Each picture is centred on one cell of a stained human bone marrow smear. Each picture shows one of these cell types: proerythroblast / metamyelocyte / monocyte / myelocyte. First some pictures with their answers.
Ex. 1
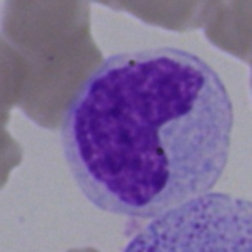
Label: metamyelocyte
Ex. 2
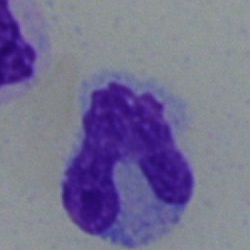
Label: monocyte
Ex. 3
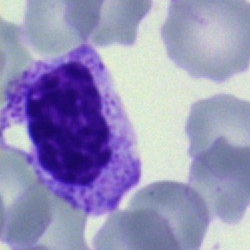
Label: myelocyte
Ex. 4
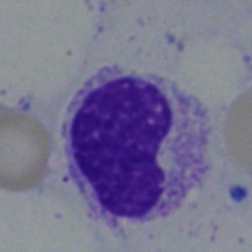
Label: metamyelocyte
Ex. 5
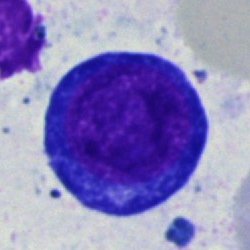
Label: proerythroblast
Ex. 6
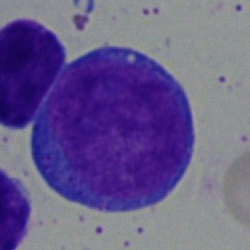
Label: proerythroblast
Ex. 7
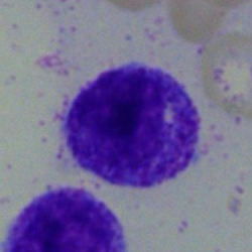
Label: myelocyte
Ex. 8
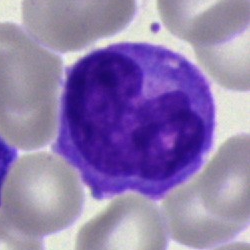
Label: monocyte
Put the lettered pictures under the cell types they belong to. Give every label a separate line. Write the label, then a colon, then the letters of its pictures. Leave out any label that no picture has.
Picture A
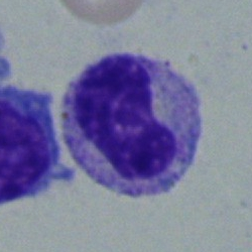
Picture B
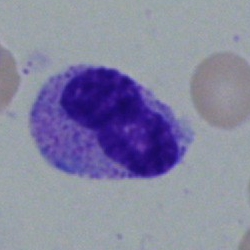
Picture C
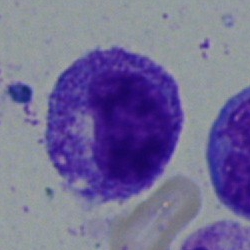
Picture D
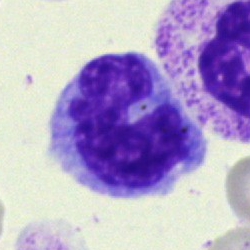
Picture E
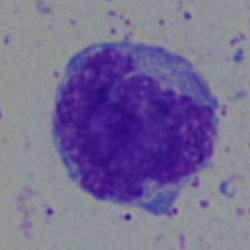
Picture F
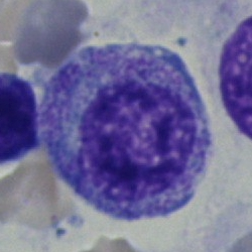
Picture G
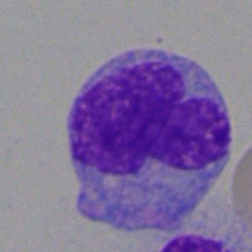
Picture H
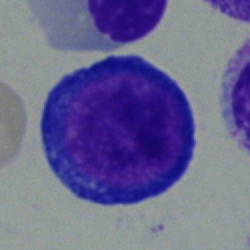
proerythroblast: H
metamyelocyte: A, B
monocyte: D, E, G
myelocyte: C, F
